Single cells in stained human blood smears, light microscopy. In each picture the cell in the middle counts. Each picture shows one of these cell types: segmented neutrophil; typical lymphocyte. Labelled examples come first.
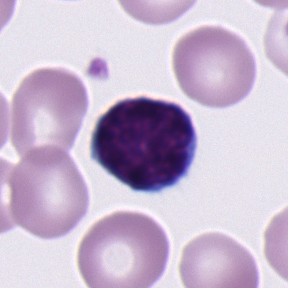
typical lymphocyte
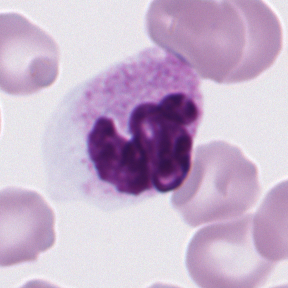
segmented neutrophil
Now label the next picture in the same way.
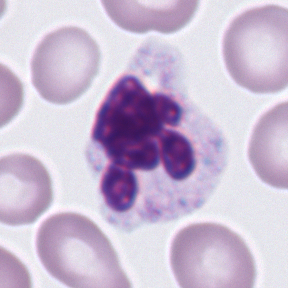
segmented neutrophil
